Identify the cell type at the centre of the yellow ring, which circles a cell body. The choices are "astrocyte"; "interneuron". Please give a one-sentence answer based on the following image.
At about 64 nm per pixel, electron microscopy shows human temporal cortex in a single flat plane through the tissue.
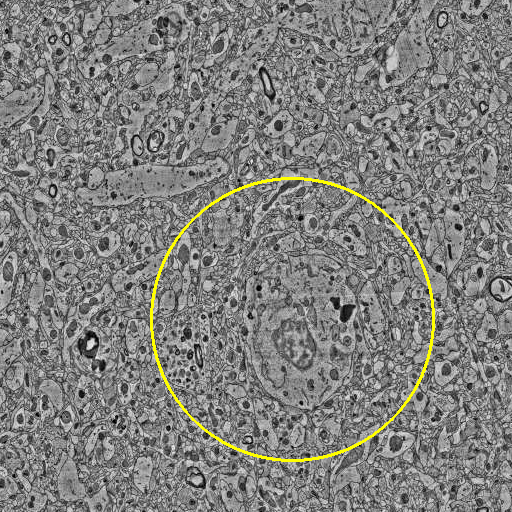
The cell marked by the ring is an interneuron.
